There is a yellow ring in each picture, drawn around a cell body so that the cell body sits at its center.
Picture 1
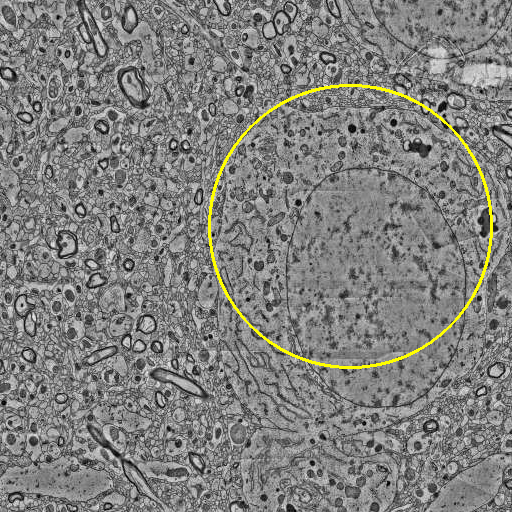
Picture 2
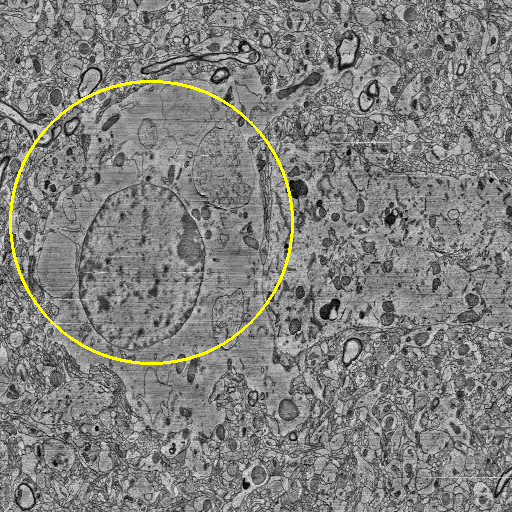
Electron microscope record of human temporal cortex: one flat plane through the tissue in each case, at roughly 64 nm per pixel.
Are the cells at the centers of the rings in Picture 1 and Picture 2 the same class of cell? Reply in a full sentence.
No, the two cells are two classes of cell.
